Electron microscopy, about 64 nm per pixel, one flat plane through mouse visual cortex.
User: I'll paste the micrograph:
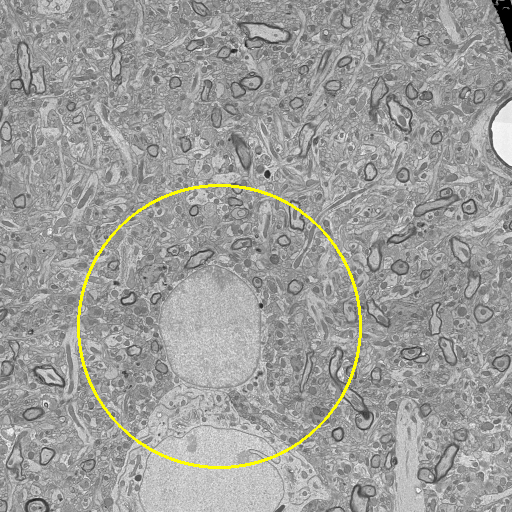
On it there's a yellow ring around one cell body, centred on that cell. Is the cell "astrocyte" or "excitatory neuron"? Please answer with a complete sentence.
The cell ringed in yellow is an astrocyte.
